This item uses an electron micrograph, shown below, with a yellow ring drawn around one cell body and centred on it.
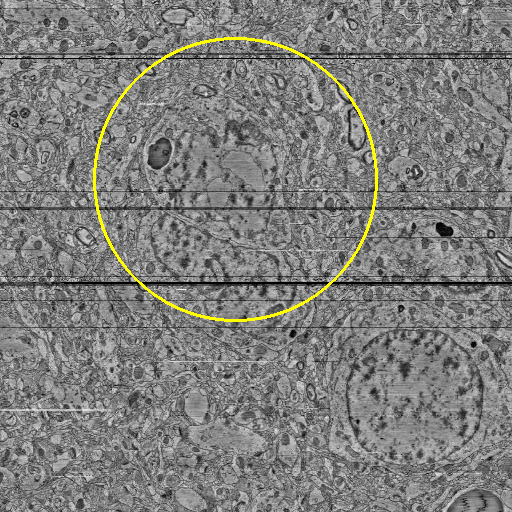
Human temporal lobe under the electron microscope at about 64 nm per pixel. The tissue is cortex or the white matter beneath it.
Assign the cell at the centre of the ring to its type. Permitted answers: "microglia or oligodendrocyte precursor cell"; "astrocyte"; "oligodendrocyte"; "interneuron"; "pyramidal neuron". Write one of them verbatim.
interneuron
